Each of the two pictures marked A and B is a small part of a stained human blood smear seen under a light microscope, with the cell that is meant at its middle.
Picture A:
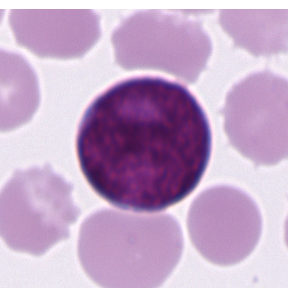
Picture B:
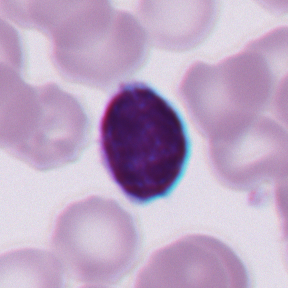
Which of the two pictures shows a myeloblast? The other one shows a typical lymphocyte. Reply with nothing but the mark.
A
